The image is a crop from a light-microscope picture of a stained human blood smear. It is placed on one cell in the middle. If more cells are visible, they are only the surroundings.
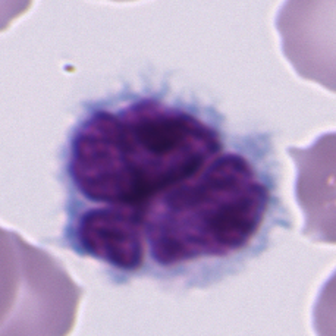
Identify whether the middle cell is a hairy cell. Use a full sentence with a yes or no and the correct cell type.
Yes, what sits in the middle of the crop is a hairy cell.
